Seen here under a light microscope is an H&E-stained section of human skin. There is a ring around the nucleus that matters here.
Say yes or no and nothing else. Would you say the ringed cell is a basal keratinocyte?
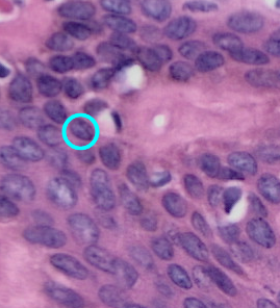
yes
